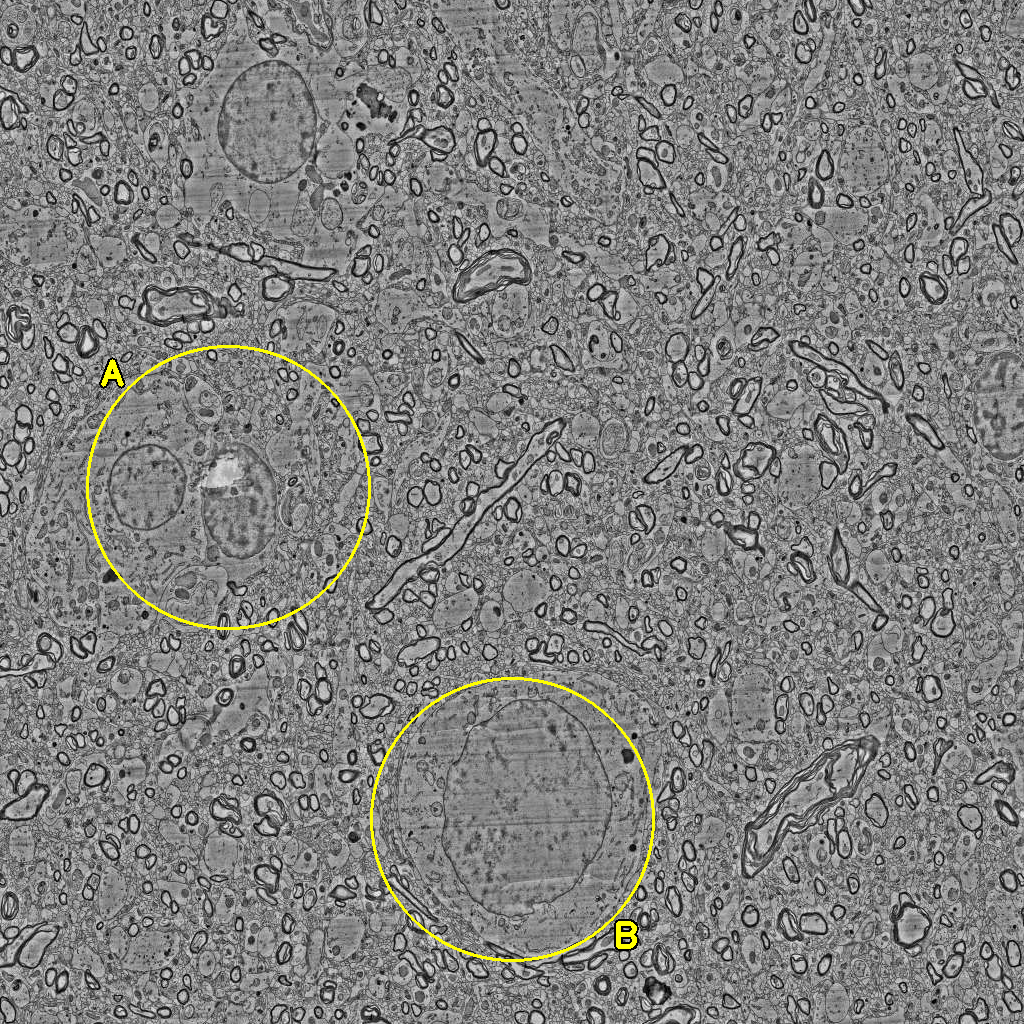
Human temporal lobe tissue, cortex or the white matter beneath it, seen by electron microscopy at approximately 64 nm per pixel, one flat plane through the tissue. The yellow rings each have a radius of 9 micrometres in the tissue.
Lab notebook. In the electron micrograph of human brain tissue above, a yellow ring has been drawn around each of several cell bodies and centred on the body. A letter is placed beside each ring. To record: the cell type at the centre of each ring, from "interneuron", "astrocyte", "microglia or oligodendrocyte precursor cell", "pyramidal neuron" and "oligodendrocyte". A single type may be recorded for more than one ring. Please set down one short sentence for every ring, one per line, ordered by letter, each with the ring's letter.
The centre of ring A is occupied by an oligodendrocyte.
The centre of ring B is occupied by a pyramidal neuron.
